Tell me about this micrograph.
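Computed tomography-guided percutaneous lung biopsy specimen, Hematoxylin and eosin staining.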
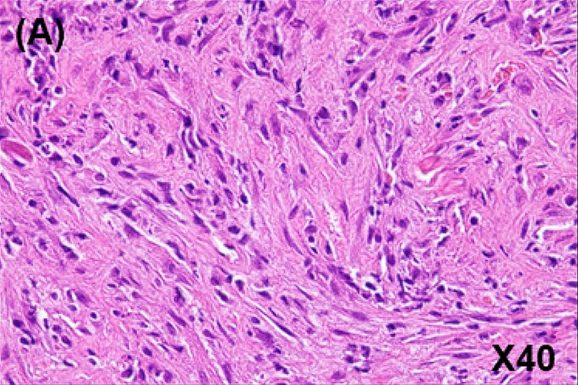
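Lesional fibrous tissue with fibroblast-like spindle-shaped cells and scattered inflammatory cells. Pink, wavy collagen bundles fill the field and run in intersecting streams, giving a mat-like appearance. The spindle cells have elongated, dark purple nuclei and pale, ill-defined cytoplasm, lying singly between the collagen fibres. Interspersed among them are smaller cells with rounder dark nuclei, consistent with inflammatory cells. A few small vessels with red blood cells are seen at the right side. No normal alveolar architecture is visible.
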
